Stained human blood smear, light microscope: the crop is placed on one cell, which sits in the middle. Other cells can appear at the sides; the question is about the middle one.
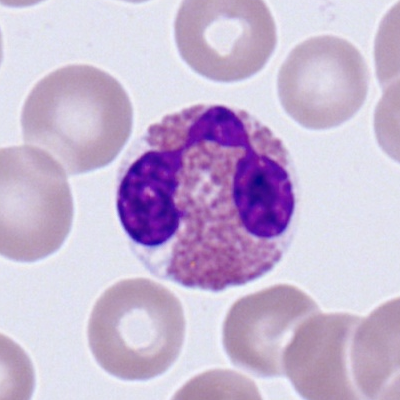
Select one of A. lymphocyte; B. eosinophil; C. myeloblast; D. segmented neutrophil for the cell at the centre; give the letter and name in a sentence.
Option B, which names the central cell as an eosinophil, is correct.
